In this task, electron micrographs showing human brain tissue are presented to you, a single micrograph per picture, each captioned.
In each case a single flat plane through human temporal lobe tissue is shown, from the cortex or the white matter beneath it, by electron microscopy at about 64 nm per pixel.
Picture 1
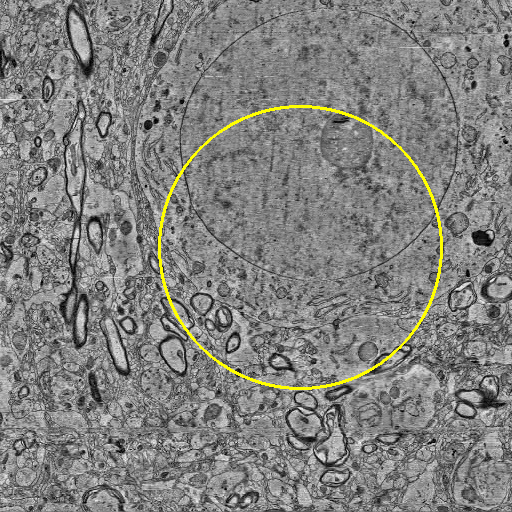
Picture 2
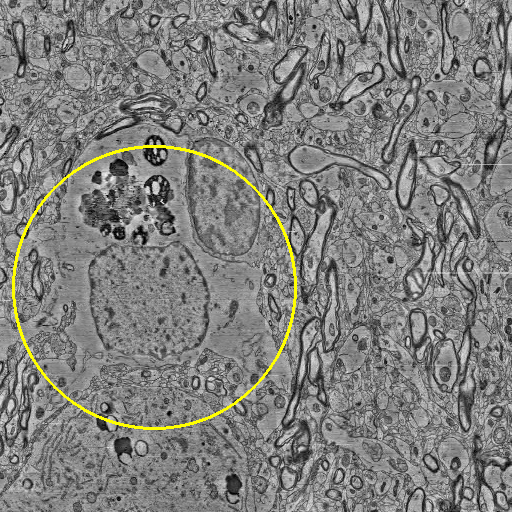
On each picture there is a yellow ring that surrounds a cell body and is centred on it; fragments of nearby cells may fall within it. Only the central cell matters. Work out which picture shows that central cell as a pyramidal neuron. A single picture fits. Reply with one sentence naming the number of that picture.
Of all the pictures, number 1 has the right cell in the centre of its ring.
